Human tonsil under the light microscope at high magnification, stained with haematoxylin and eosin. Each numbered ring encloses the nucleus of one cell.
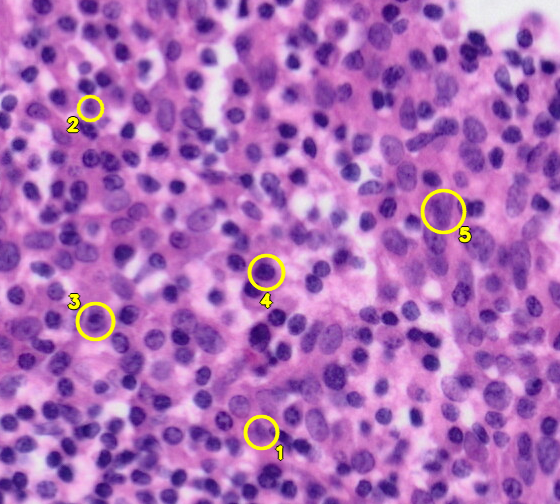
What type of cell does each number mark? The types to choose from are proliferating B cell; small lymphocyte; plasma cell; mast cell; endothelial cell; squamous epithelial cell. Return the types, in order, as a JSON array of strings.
["endothelial cell", "plasma cell", "plasma cell", "plasma cell", "squamous epithelial cell"]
